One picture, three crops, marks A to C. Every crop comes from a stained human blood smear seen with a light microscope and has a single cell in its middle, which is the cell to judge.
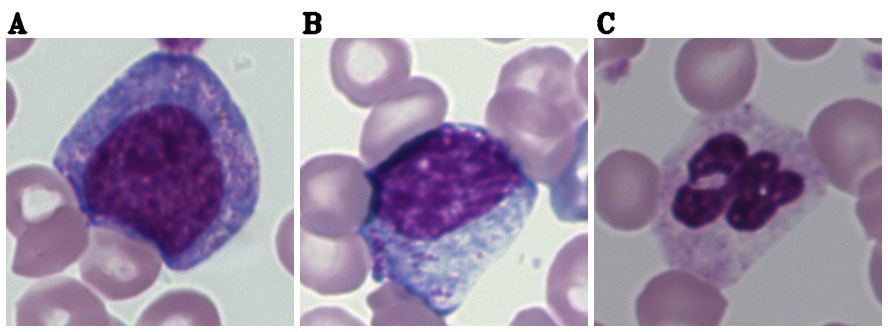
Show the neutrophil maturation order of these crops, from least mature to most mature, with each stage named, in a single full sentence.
From least mature to most mature, the crops fall in the order crop A (a promyelocyte), crop B (a myelocyte) and crop C (a segmented neutrophil).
